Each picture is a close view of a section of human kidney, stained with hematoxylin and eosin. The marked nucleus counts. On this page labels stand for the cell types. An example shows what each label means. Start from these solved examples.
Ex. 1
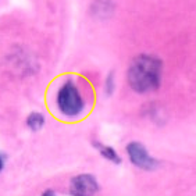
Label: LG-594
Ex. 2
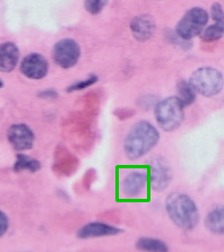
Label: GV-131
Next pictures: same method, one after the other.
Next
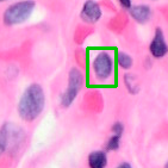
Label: LG-594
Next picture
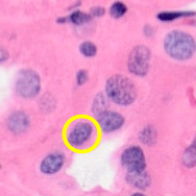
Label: GV-131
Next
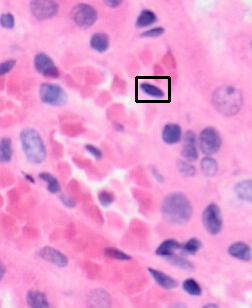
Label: LG-594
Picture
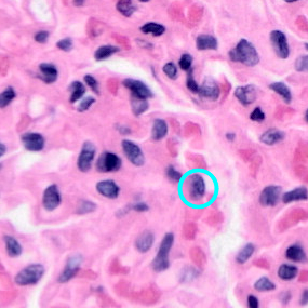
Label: LG-594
